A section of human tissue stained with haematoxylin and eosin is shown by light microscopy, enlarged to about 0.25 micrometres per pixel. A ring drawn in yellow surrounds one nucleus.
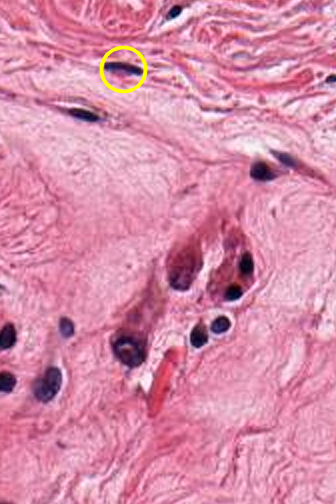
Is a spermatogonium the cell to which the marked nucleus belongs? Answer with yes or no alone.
no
